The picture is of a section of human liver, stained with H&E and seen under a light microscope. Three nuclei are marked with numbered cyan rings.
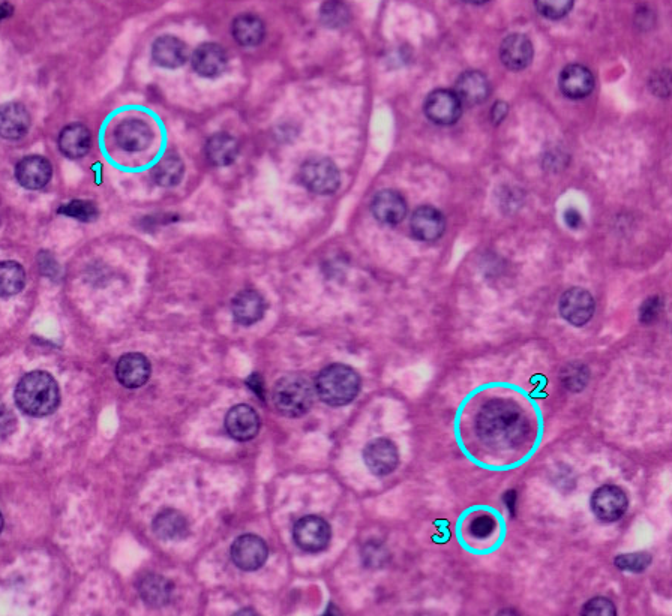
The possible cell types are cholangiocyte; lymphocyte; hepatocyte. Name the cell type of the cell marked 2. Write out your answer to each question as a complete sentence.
The cell identified by the number 2 is a hepatocyte.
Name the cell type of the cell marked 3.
At number 3, the marked cell is a lymphocyte.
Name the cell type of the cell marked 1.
The cell that goes by number 1 is a hepatocyte.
